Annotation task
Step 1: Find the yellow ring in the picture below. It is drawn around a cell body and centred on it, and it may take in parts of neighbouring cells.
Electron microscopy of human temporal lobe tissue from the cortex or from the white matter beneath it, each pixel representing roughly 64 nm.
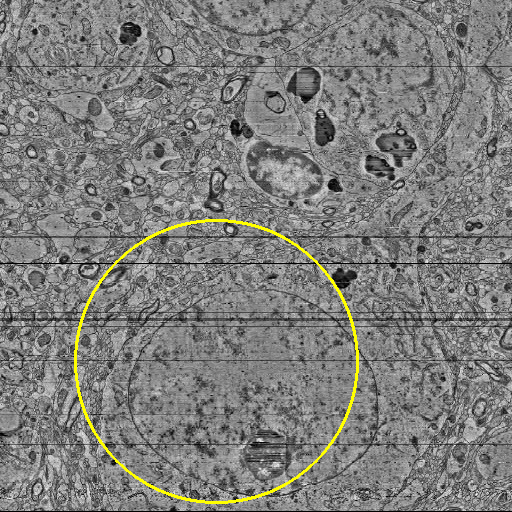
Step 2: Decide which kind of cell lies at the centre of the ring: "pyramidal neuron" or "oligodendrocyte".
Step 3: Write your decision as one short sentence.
The kind of cell at the ring's centre is a pyramidal neuron.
